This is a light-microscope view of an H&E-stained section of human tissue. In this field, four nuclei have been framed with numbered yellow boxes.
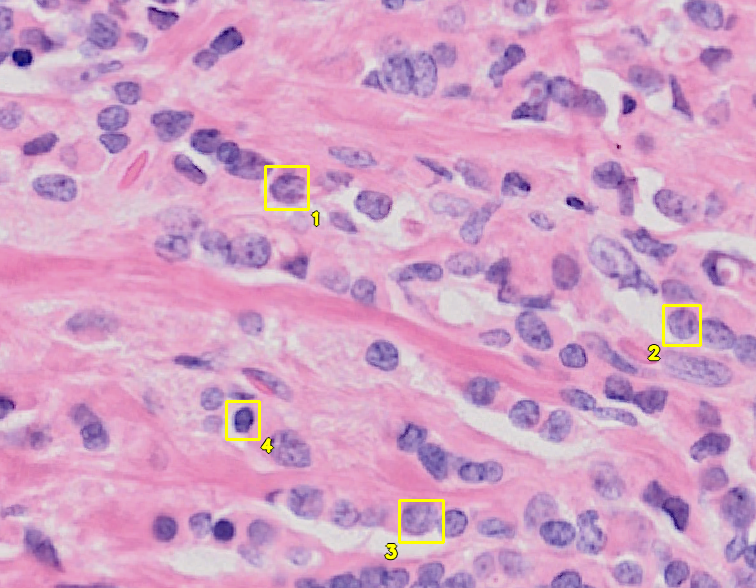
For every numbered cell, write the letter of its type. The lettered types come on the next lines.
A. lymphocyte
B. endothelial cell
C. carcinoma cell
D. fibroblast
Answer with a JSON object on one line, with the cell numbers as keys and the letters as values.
{"1": "C", "2": "C", "3": "C", "4": "A"}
